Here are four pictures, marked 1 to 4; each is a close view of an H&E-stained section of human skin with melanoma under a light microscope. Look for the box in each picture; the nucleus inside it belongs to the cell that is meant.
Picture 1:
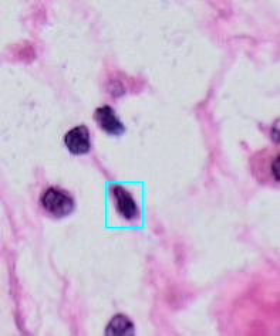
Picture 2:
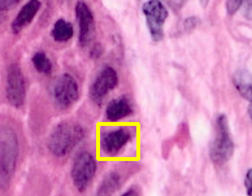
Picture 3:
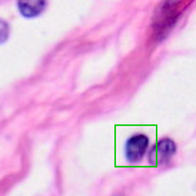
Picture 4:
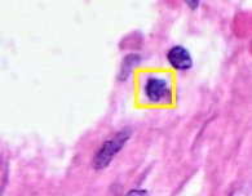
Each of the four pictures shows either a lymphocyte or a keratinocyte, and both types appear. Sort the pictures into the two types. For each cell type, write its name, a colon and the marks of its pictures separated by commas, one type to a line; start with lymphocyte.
lymphocyte: 1, 3, 4
keratinocyte: 2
